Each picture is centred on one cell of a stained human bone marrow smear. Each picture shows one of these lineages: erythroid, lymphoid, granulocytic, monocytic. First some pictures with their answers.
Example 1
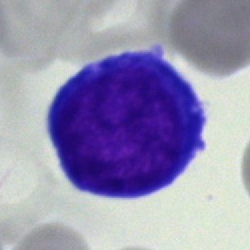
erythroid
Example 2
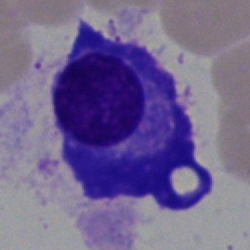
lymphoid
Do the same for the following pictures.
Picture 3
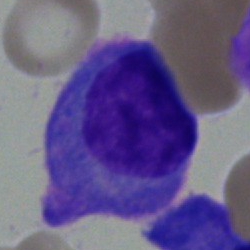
lymphoid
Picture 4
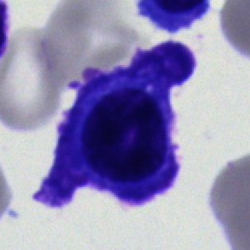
lymphoid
